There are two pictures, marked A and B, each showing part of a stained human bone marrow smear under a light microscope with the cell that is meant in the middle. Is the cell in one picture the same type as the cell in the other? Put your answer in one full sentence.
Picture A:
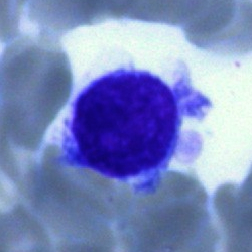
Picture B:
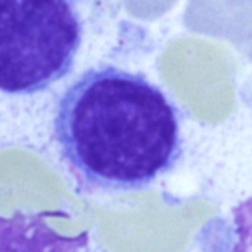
Yes, both cells are hairy cells.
